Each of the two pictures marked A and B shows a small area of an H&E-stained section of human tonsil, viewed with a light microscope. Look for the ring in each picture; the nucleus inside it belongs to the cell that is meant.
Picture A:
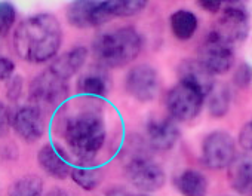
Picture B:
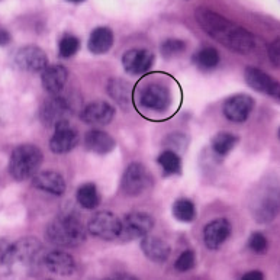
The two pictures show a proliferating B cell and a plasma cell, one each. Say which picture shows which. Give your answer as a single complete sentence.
Picture B shows a plasma cell, while picture A shows a proliferating B cell.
